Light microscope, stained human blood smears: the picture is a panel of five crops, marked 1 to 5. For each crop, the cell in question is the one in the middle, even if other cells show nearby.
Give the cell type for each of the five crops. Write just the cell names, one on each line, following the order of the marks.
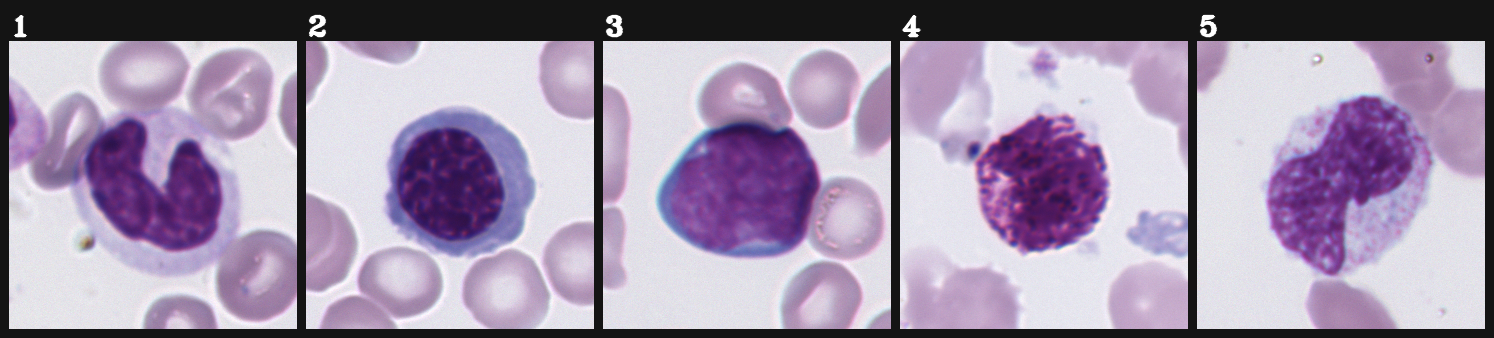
band neutrophil
normoblast
myeloblast
basophil
band neutrophil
